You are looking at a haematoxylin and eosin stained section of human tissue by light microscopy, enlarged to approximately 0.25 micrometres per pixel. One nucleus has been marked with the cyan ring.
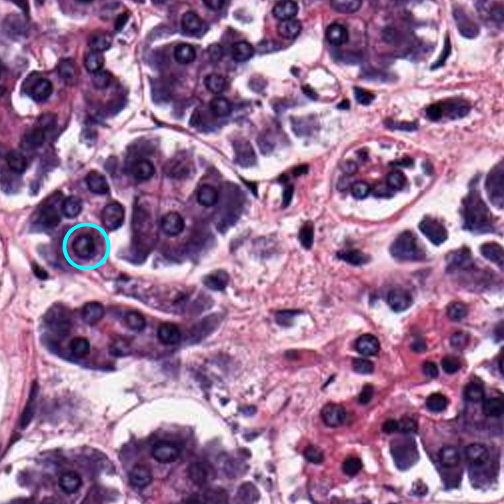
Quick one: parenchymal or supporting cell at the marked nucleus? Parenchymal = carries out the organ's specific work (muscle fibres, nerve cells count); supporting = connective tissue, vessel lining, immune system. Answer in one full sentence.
The marked nucleus belongs to one of the parenchymal cells, namely a pancreatic acinar cell.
